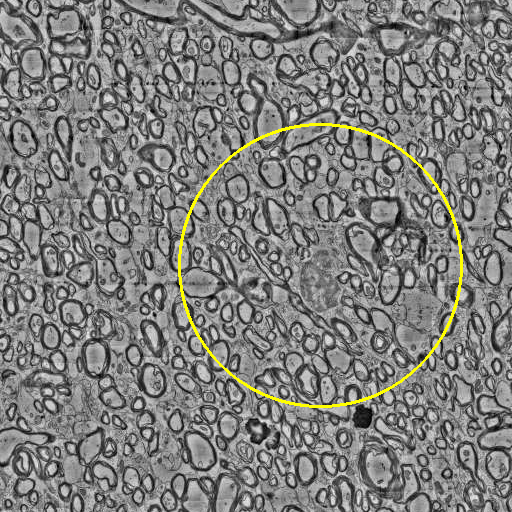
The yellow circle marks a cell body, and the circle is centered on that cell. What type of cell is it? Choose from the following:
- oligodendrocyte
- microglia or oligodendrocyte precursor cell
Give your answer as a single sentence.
This cell body belongs to an oligodendrocyte.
